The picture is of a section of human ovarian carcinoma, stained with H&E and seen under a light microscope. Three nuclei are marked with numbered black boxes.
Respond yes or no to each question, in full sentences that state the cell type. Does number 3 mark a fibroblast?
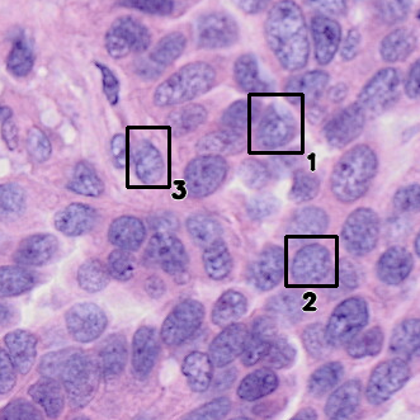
Yes, kindly take note: the cell numbered 3 is a fibroblast.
